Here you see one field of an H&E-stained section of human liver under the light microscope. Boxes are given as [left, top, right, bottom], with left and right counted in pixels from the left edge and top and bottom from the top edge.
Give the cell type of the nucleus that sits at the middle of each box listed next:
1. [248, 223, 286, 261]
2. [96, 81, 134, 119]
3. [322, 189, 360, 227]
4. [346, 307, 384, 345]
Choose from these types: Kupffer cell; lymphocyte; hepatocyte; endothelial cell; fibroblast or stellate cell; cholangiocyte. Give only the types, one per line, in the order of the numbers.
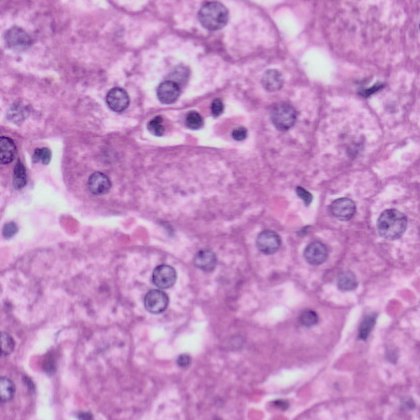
hepatocyte
hepatocyte
hepatocyte
Kupffer cell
